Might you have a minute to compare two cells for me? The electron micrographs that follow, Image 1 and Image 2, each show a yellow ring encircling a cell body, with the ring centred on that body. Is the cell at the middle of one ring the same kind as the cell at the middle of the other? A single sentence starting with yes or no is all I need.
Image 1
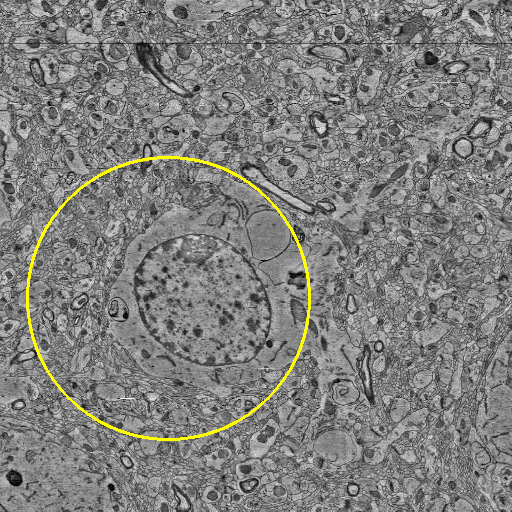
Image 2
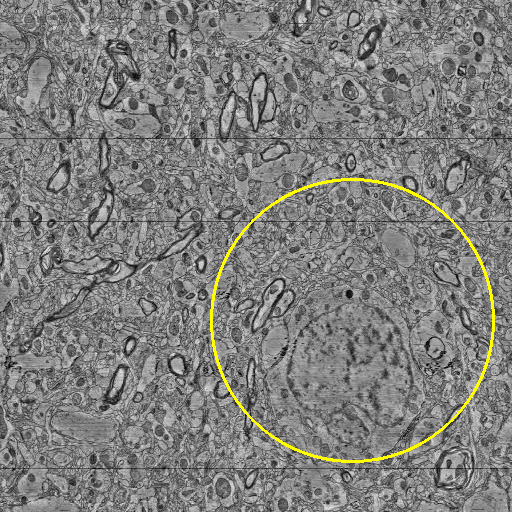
No, the cells in the middle of the two rings are of two separate kinds.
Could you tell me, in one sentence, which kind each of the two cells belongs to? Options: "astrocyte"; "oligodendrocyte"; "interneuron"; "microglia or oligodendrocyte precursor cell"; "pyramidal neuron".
At the centre of the first ring sits an astrocyte, and at the centre of the second sits an interneuron.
